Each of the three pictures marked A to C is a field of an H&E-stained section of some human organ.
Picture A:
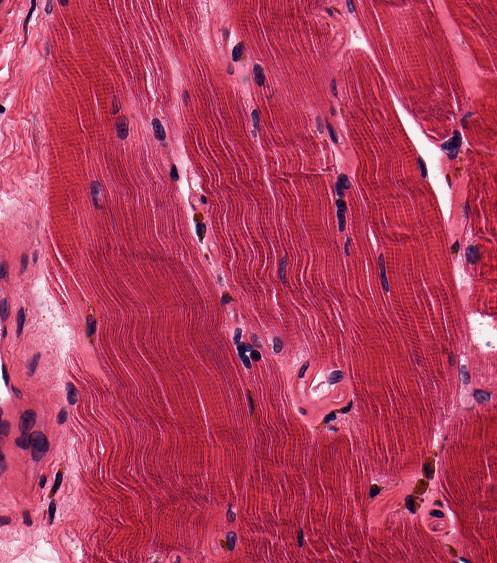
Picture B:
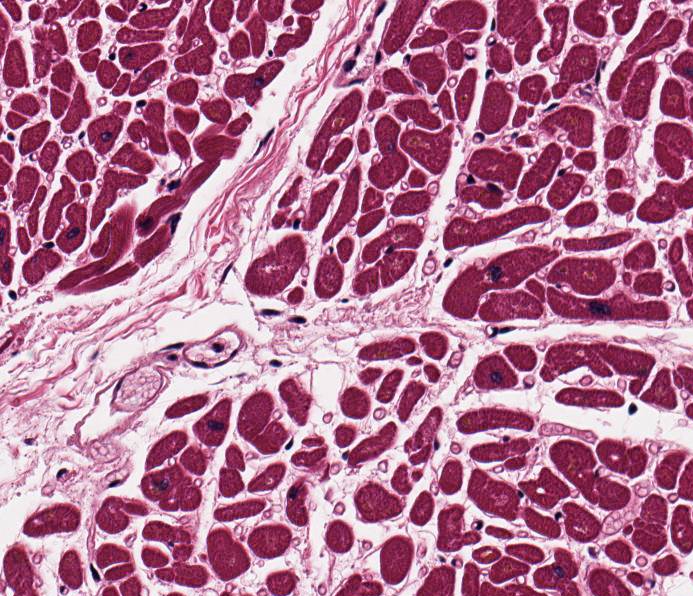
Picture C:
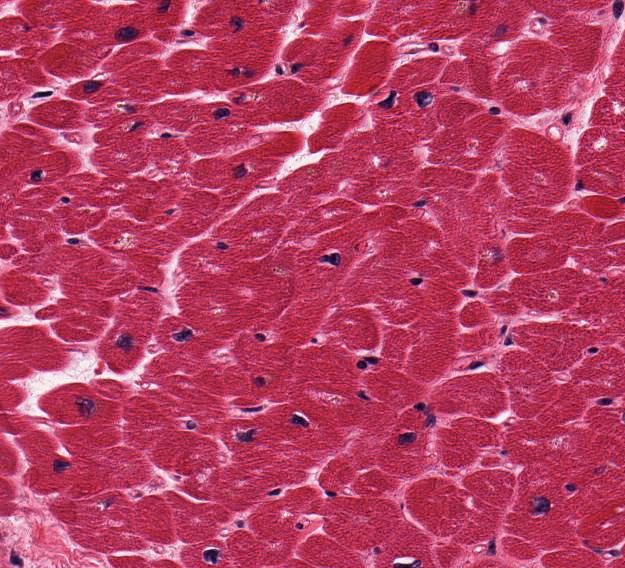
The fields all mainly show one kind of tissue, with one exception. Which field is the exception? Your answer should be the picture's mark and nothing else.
A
